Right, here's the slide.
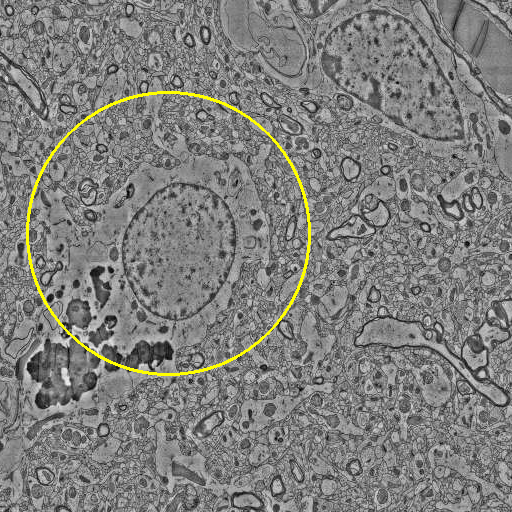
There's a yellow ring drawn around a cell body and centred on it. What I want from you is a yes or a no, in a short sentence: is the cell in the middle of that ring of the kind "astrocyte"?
Yes, it's of that kind.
